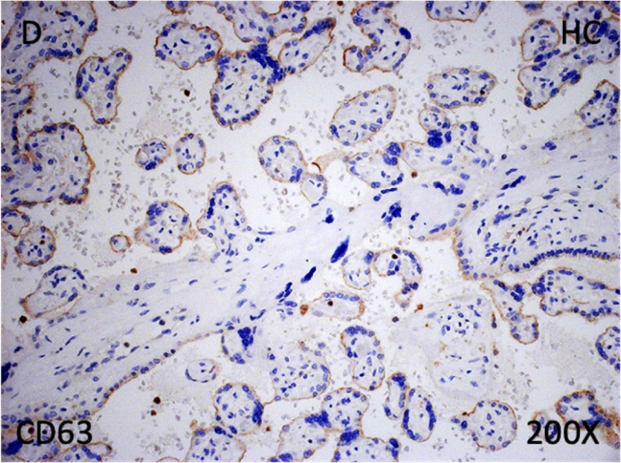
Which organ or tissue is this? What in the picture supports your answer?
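Numerous small rounded tissue profiles of varied size scattered in open space. Each profile is lined by a thin surface layer with small clusters of dark nuclei. Scattered small cells lie in the space between the profiles.
Conclusion: placenta villi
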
